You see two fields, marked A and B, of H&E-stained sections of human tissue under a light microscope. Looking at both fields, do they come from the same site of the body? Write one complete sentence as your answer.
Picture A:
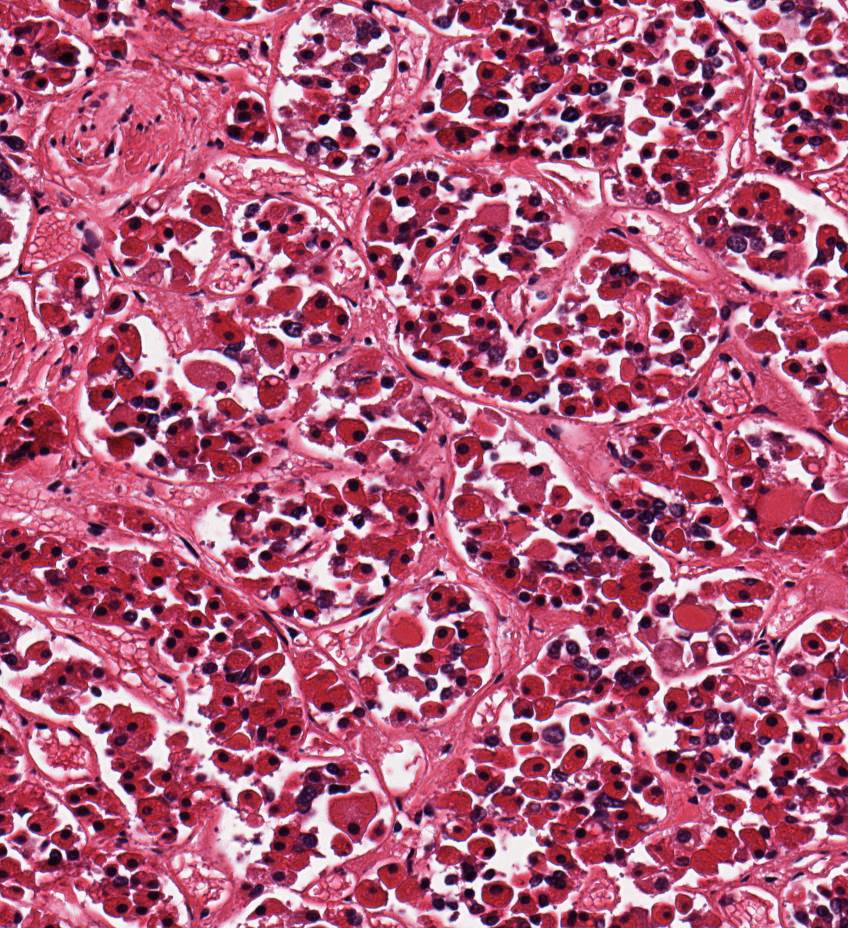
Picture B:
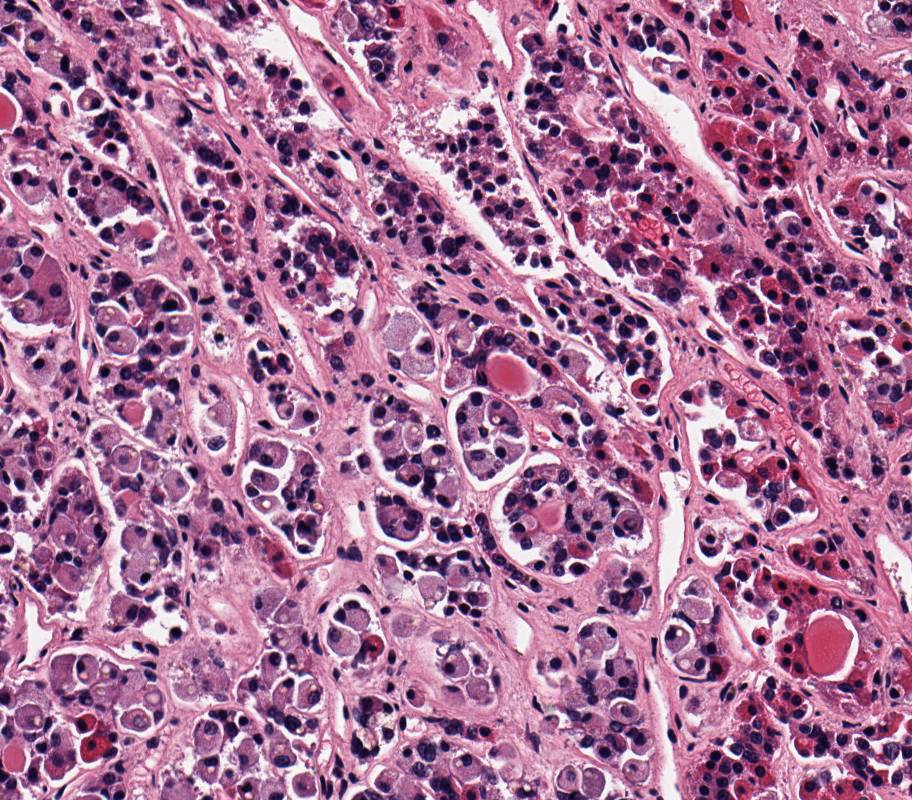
Yes; both pictures come from the pituitary.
